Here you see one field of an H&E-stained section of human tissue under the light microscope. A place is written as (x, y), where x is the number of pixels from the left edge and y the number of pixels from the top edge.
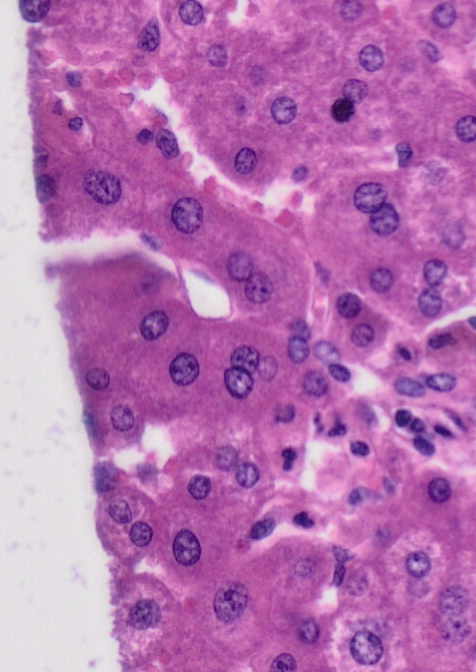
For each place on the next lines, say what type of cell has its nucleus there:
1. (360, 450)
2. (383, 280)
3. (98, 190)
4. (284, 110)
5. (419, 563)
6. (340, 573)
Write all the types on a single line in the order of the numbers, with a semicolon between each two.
lymphocyte; hepatocyte; hepatocyte; hepatocyte; hepatocyte; fibroblast or stellate cell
